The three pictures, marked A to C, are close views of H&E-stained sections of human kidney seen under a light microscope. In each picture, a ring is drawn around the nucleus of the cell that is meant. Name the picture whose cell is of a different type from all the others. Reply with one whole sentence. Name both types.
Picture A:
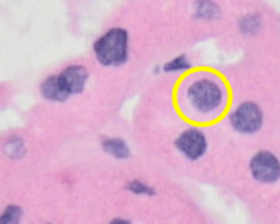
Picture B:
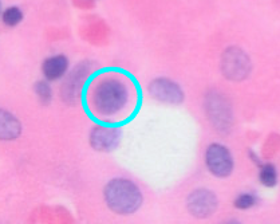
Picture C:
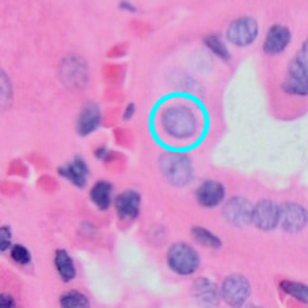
Picture A differs, because its cell is a “loop of Henle or distal tubule cell” and the rest are collecting duct cells.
